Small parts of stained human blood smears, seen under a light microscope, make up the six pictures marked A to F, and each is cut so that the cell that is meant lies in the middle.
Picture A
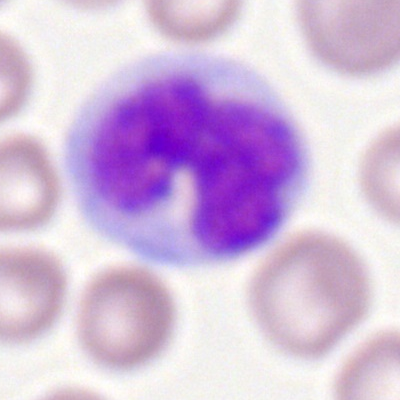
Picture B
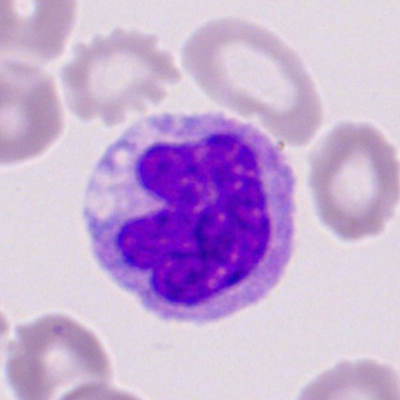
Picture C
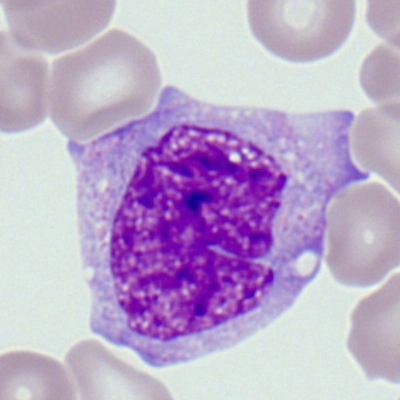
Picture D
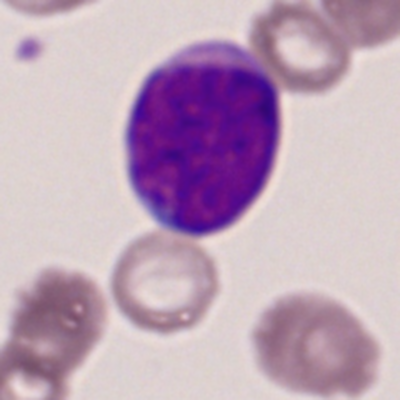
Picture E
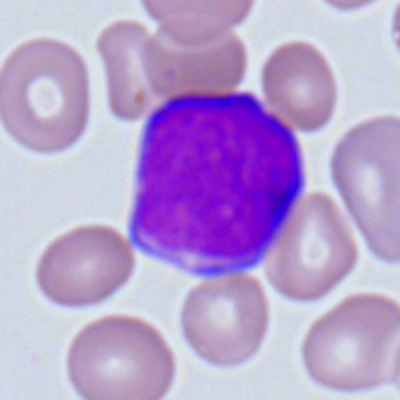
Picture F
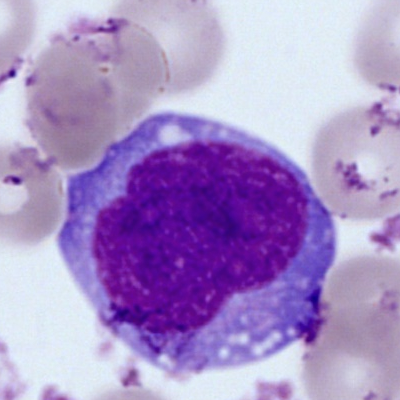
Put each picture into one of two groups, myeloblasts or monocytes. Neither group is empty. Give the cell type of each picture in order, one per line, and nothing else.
monocyte
monocyte
monocyte
myeloblast
myeloblast
myeloblast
